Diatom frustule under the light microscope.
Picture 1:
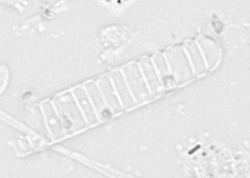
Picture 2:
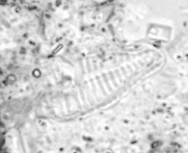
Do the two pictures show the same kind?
No: Diatoma, then Planothidium.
